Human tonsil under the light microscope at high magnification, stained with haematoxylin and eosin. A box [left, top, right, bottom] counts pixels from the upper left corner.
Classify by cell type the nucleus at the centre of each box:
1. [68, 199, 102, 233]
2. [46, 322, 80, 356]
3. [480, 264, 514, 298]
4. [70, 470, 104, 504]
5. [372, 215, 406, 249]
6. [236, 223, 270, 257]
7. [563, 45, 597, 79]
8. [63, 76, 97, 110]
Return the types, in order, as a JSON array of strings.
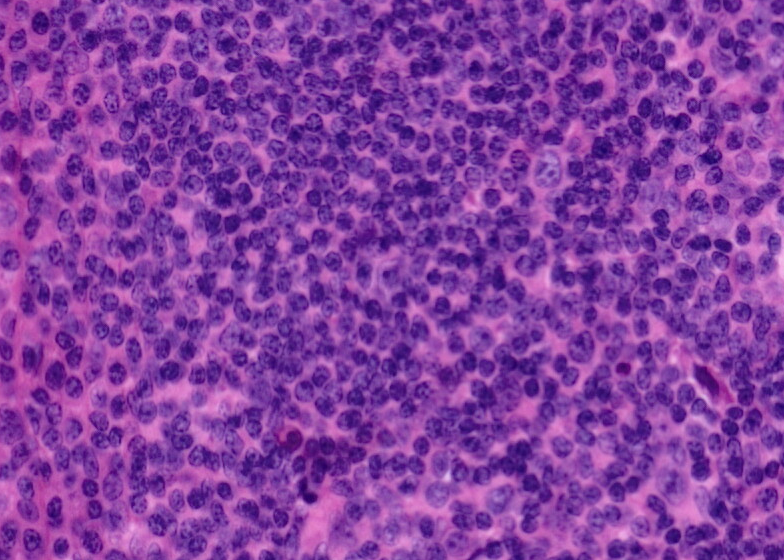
["plasma cell", "plasma cell", "small lymphocyte", "plasma cell", "small lymphocyte", "small lymphocyte", "small lymphocyte", "plasma cell"]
